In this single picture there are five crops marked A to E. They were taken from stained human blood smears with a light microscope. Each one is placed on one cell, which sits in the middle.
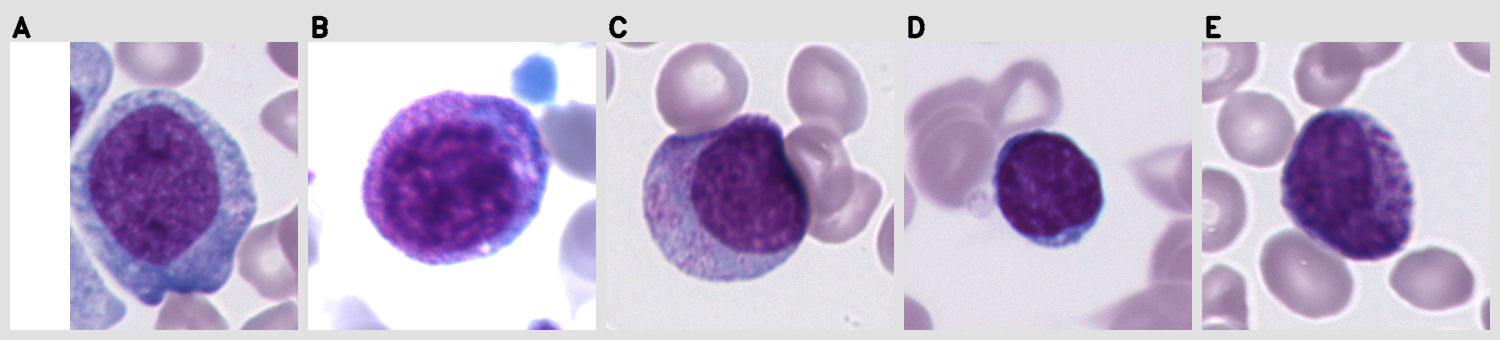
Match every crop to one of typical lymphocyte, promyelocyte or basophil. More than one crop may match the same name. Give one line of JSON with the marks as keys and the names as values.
{"A": "promyelocyte", "B": "promyelocyte", "C": "promyelocyte", "D": "typical lymphocyte", "E": "basophil"}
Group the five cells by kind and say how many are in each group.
promyelocyte: 3
typical lymphocyte: 1
basophil: 1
